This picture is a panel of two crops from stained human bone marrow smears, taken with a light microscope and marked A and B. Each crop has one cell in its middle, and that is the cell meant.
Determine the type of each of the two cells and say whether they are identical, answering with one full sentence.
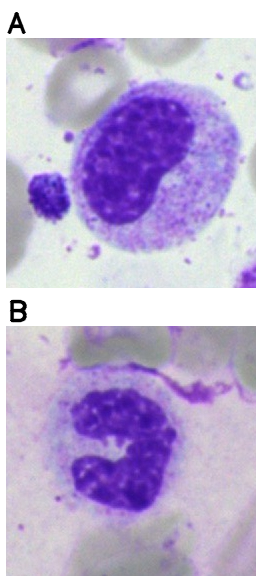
No, crop B centres on a band neutrophil, and crop A centres on a metamyelocyte.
